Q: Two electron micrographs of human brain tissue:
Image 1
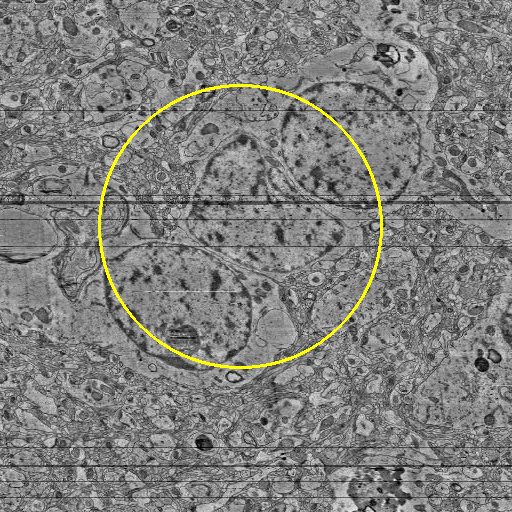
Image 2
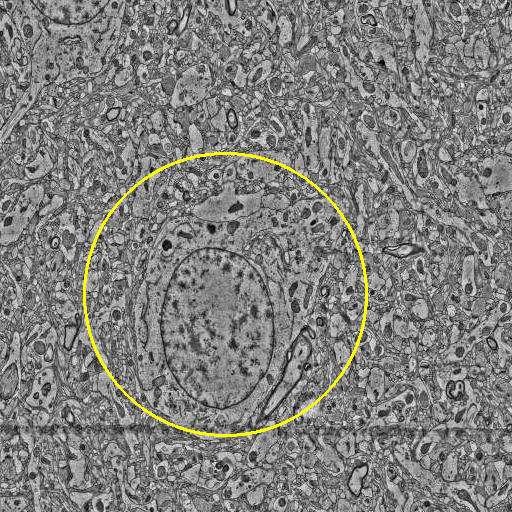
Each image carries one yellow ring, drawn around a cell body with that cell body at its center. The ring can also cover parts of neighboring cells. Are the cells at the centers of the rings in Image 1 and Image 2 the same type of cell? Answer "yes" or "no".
no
